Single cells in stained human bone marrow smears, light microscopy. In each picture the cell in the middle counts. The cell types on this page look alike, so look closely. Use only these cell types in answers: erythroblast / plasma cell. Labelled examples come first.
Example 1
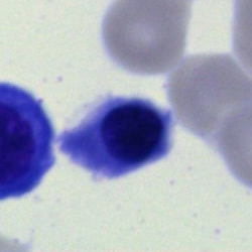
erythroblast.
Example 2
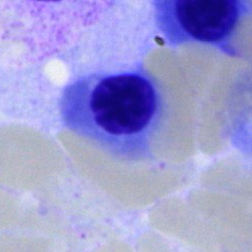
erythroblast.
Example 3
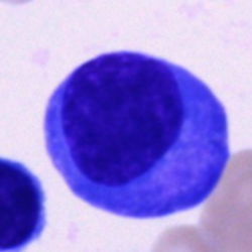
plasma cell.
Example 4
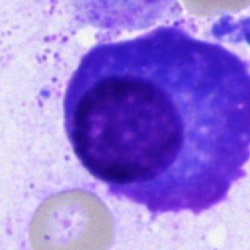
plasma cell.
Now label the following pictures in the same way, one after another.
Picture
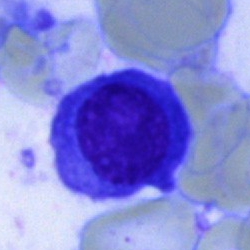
plasma cell.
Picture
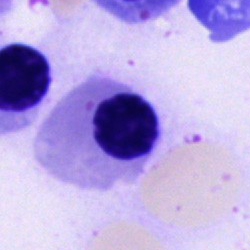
erythroblast.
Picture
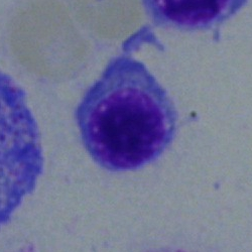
erythroblast.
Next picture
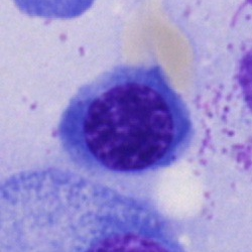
erythroblast.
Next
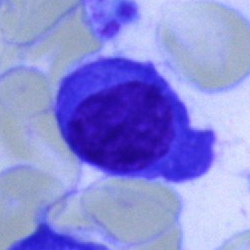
plasma cell.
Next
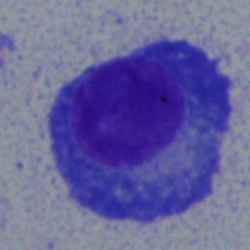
plasma cell.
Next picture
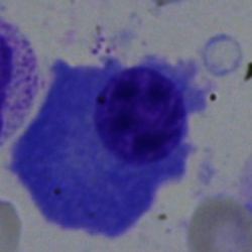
plasma cell.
